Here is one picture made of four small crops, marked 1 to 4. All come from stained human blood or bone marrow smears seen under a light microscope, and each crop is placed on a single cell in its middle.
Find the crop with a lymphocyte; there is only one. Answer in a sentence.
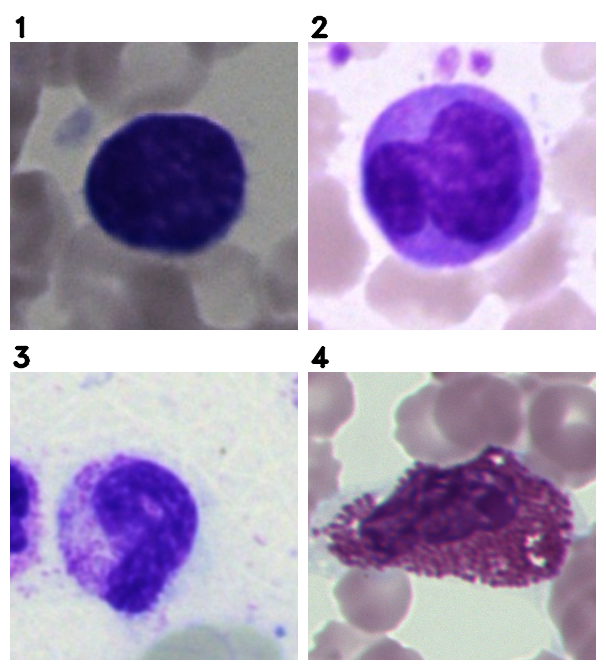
The one showing a lymphocyte is crop 1.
